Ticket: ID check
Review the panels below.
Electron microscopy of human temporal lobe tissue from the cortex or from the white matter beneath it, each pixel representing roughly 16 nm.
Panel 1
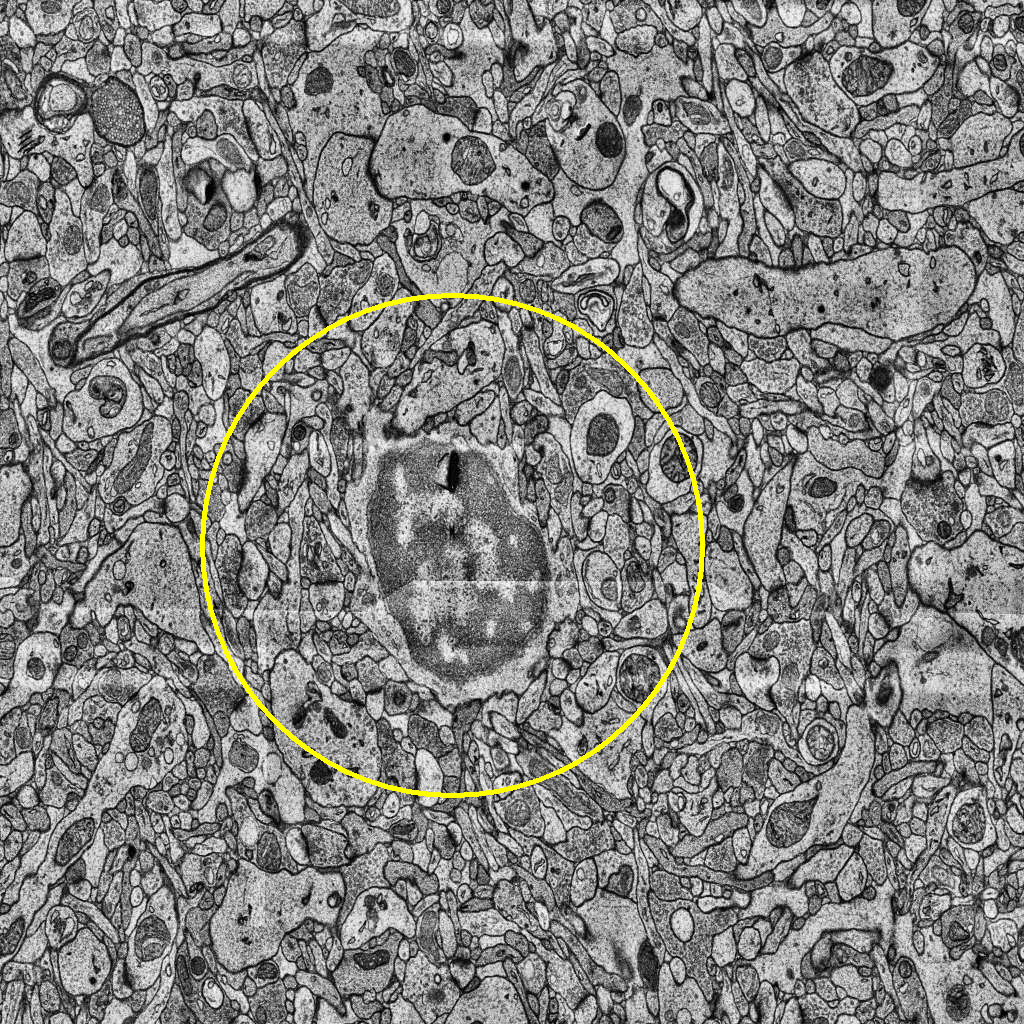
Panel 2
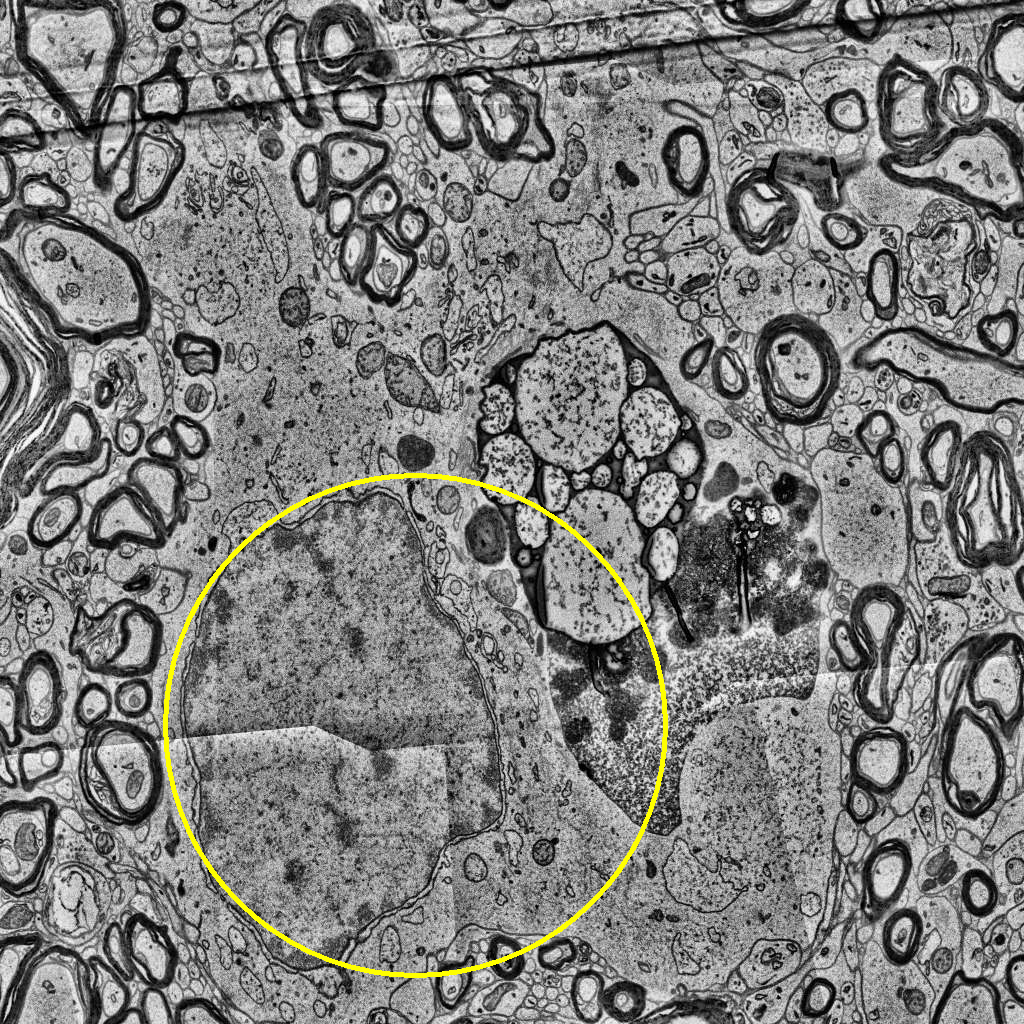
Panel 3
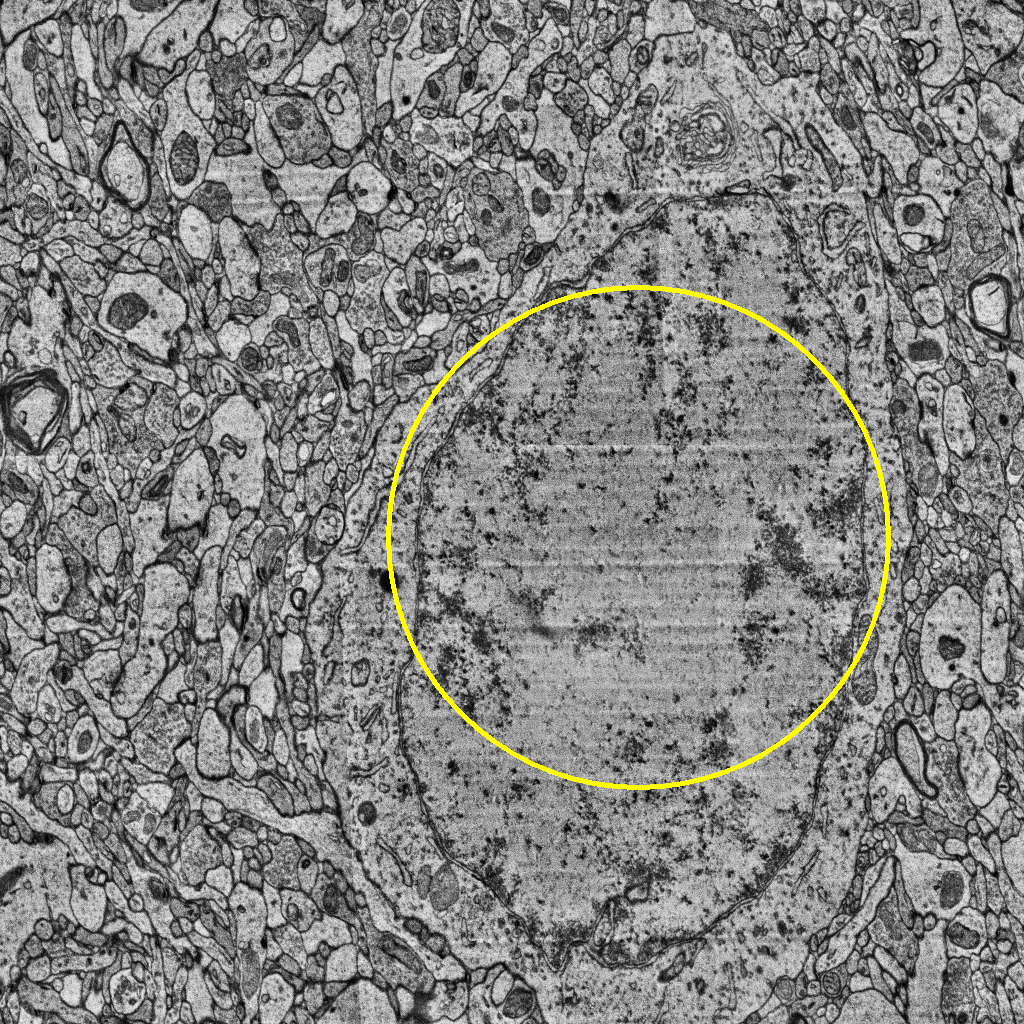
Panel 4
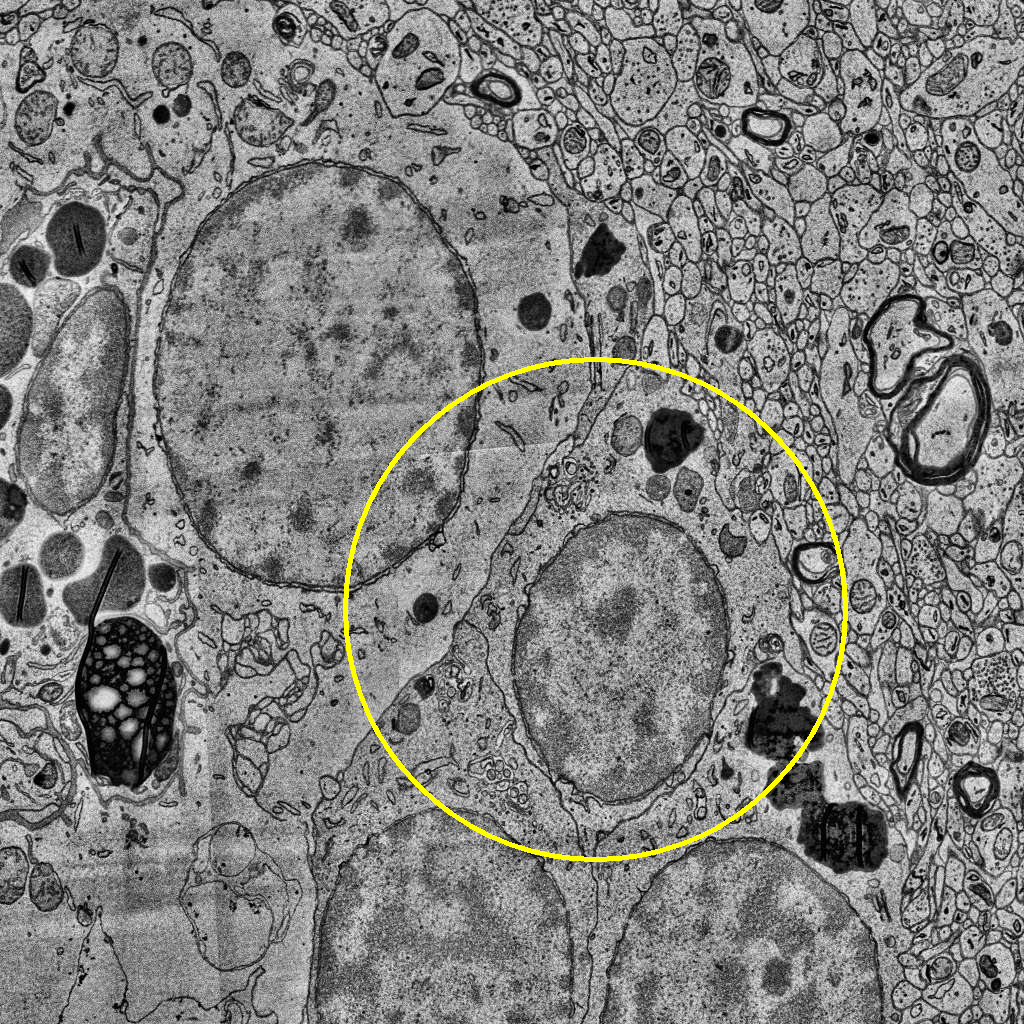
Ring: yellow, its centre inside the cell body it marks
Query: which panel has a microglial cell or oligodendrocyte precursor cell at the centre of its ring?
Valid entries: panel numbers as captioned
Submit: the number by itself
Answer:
1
